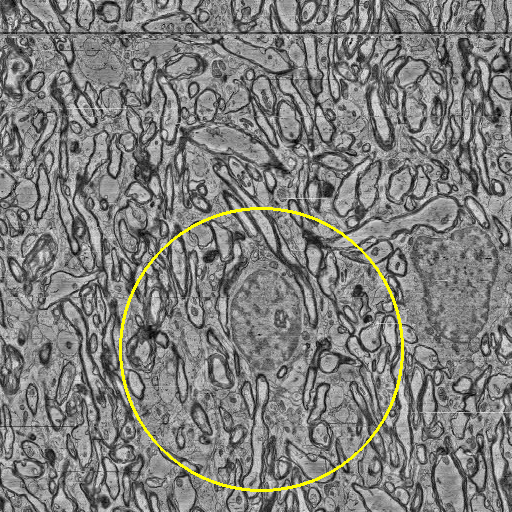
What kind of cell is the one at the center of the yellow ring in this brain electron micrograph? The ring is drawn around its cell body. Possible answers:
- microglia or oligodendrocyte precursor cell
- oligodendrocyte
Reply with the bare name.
oligodendrocyte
